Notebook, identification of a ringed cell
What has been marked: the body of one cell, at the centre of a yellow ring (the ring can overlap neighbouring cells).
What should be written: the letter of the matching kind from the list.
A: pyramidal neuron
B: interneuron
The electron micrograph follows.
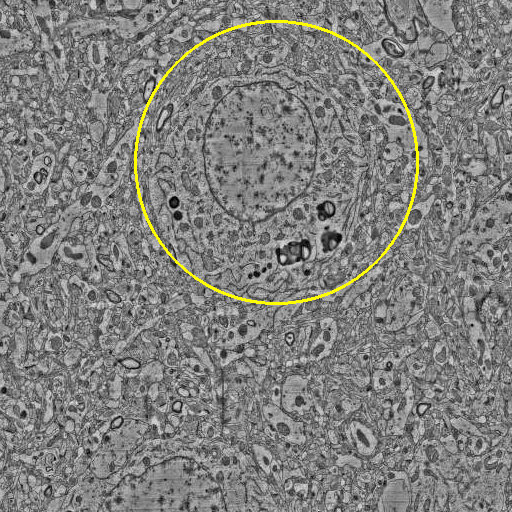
A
